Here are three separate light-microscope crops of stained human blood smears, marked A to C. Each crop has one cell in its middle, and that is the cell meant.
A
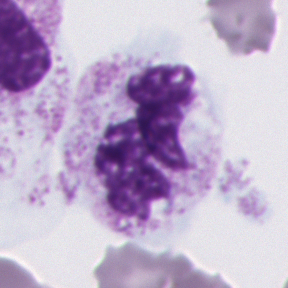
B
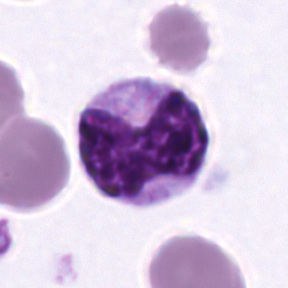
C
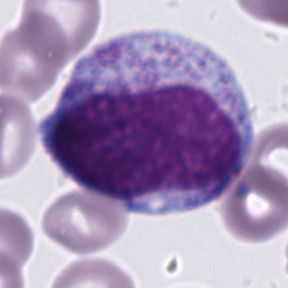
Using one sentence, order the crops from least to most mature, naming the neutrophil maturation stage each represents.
Arranged by increasing maturity, the crops are crop C (a promyelocyte), crop B (a band neutrophil) and crop A (a segmented neutrophil).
